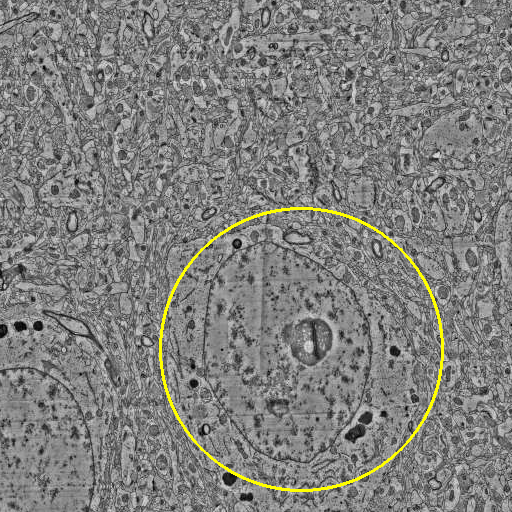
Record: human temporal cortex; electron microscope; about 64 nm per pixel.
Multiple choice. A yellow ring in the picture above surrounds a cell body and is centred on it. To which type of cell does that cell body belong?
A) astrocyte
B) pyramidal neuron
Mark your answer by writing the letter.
B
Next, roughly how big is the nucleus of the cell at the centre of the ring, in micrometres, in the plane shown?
In this plane, roughly 14 by 11 micrometres.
